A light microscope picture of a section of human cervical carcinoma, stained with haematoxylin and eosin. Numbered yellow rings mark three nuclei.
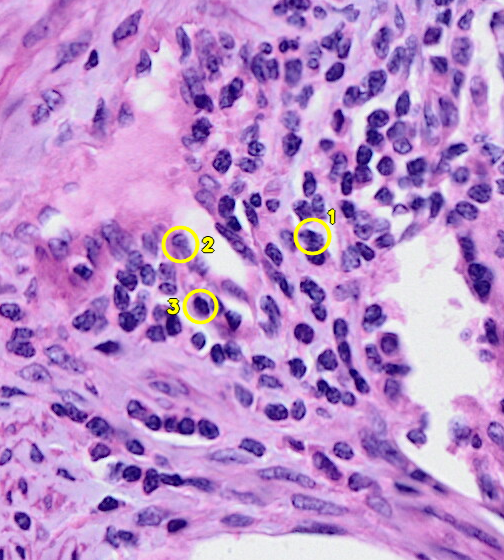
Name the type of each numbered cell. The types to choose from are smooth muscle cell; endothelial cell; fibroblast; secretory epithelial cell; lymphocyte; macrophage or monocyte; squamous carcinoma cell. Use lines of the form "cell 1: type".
cell 1: lymphocyte
cell 2: endothelial cell
cell 3: lymphocyte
